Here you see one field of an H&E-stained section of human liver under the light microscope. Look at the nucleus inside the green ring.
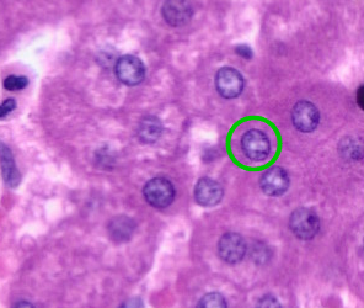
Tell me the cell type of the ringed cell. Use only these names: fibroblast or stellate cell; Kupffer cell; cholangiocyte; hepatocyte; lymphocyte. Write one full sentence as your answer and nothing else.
In this section, the ringed cell is a hepatocyte.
